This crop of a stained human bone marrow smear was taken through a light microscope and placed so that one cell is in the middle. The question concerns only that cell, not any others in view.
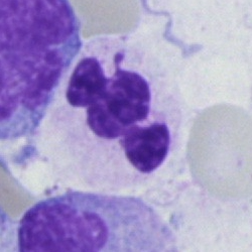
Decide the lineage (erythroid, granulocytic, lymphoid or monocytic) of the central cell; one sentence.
The cell right in the center of the crop is part of the granulocytic line.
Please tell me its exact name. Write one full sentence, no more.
By type, the central cell of the crop is a segmented neutrophil.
